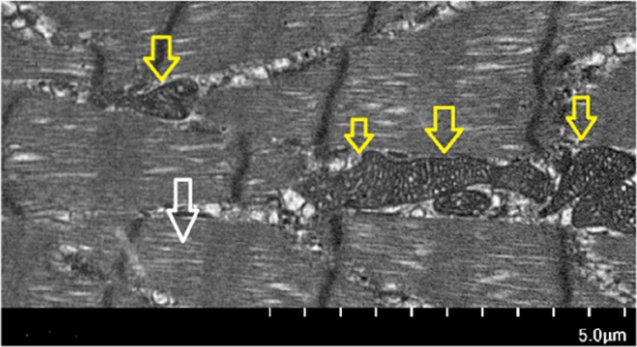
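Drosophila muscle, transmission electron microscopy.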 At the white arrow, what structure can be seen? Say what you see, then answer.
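The arrow points at bundles of fine, parallel longitudinal filaments. The bundles are crossed at intervals by dark transverse lines.
Hence: myogenic fibers.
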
